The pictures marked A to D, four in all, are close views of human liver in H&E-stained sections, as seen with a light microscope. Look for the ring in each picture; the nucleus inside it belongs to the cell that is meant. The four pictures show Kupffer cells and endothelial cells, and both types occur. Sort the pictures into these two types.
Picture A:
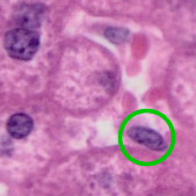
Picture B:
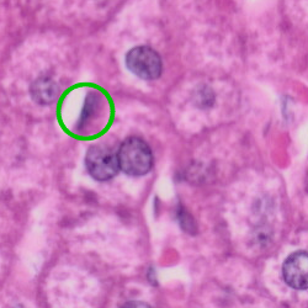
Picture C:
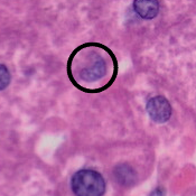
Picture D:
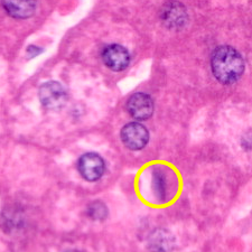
A: Kupffer cell
B: Kupffer cell
C: Kupffer cell
D: endothelial cell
